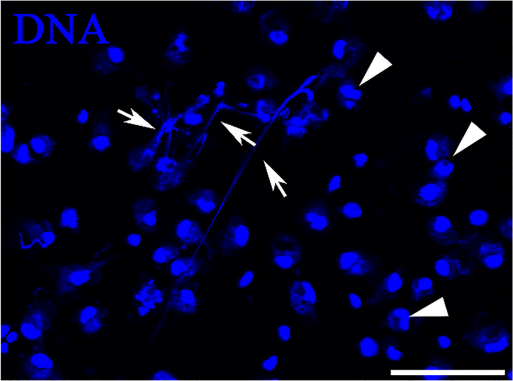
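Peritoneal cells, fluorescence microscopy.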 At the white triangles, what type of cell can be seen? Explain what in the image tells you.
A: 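Neutrophils. The marked nuclei are irregular in outline rather than perfectly round.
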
